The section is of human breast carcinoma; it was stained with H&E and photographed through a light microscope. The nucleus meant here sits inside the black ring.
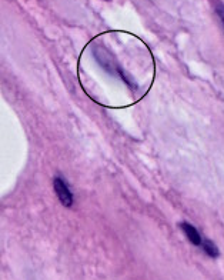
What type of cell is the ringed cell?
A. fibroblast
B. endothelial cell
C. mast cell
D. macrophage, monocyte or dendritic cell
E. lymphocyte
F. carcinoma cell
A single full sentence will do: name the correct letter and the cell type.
In this item, the ringed cell is a fibroblast, and option A is right.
